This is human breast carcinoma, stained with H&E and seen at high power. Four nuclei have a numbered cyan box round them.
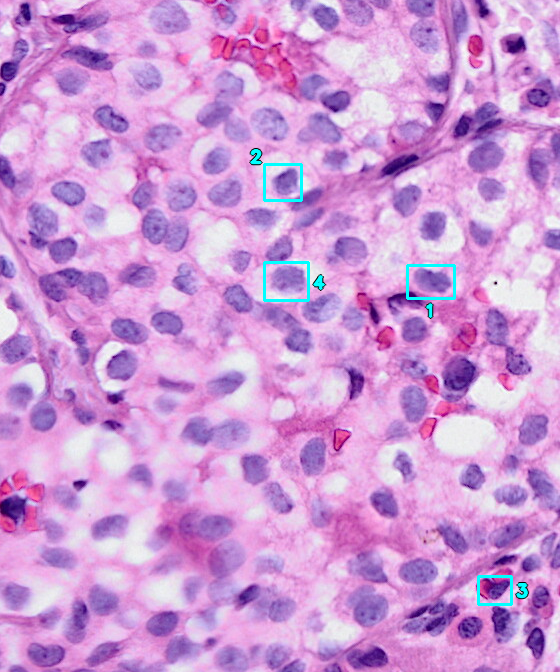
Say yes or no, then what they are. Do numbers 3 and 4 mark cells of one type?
No, cell 4 is a carcinoma cell, and cell 3 is an endothelial cell.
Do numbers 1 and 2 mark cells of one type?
Yes, by cell type, cells 1 and 2 are both carcinoma cells.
